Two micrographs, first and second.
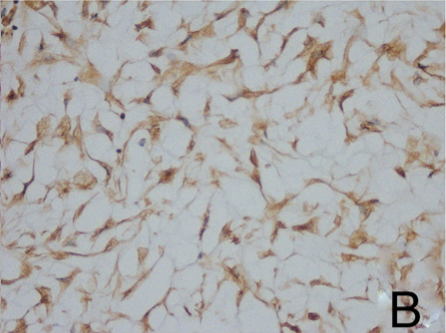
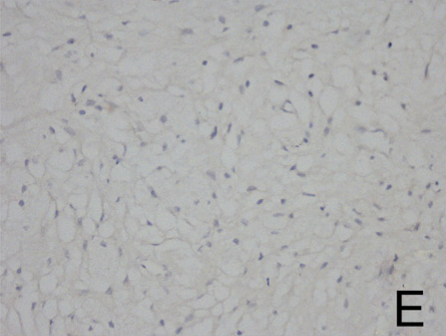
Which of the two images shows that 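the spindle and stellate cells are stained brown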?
the first image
